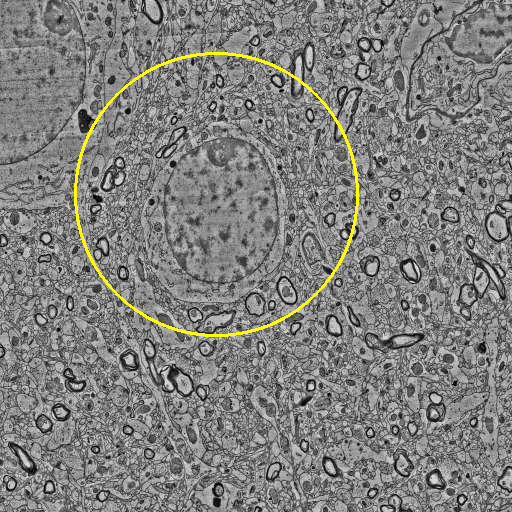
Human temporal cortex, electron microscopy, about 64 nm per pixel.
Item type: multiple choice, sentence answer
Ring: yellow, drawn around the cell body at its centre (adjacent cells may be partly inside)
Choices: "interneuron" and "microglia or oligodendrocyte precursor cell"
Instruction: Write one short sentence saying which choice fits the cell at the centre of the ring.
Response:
This ring is drawn around an interneuron.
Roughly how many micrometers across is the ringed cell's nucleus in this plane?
In this plane, the nucleus of the cell at the centre of the ring measures about 9 by 8 micrometres.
